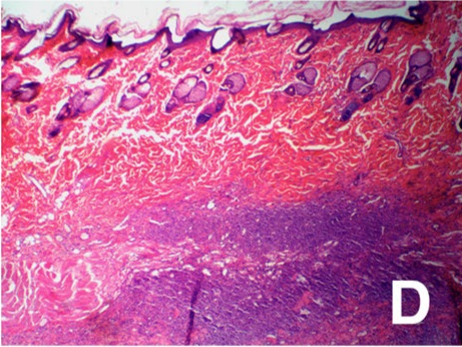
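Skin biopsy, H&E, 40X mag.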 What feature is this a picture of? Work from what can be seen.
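Rows of oval purple epithelial structures lie in the upper dermis below the epidermis.
Answer: hair follicles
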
